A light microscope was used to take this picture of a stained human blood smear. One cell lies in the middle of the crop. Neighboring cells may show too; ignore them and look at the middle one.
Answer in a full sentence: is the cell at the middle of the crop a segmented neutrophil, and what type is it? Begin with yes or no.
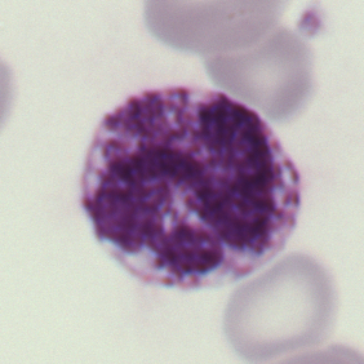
No, the cell in the middle is categorised as a basophil, not a segmented neutrophil.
